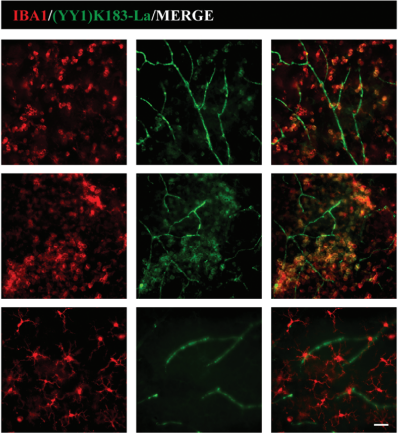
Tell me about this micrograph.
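The green label outlines long, thin, branching thread-like tracts running across the field, with fainter green dots among the cells. In the merged images, yellow areas appear where red cells and green label overlap.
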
